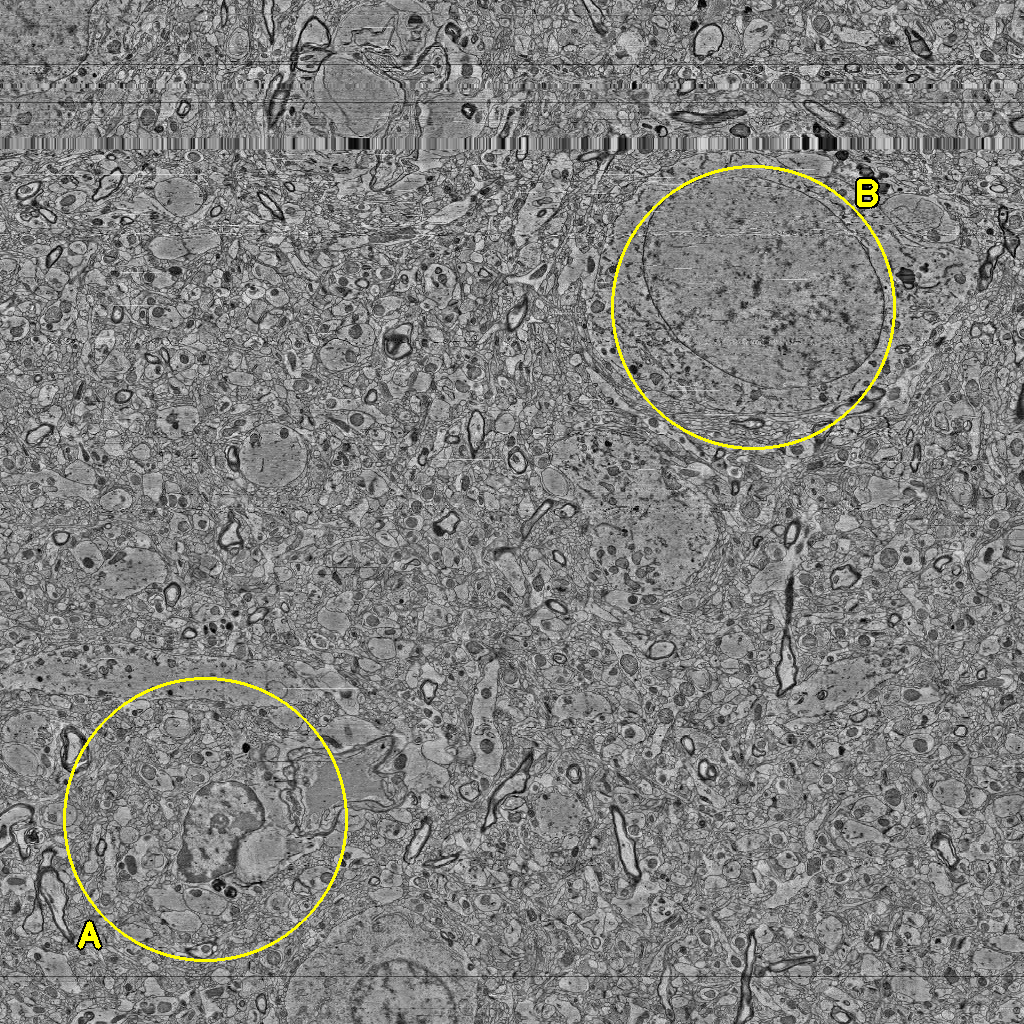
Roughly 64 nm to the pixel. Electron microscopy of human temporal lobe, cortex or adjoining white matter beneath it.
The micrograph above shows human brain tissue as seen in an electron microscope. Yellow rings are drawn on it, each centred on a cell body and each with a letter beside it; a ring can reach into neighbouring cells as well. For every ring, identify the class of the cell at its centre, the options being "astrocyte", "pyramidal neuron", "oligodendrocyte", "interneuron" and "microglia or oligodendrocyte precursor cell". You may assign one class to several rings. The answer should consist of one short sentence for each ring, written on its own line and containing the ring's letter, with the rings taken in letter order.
The ring lettered A is centred on a microglial cell or oligodendrocyte precursor cell.
The ring lettered B is centred on a pyramidal neuron.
